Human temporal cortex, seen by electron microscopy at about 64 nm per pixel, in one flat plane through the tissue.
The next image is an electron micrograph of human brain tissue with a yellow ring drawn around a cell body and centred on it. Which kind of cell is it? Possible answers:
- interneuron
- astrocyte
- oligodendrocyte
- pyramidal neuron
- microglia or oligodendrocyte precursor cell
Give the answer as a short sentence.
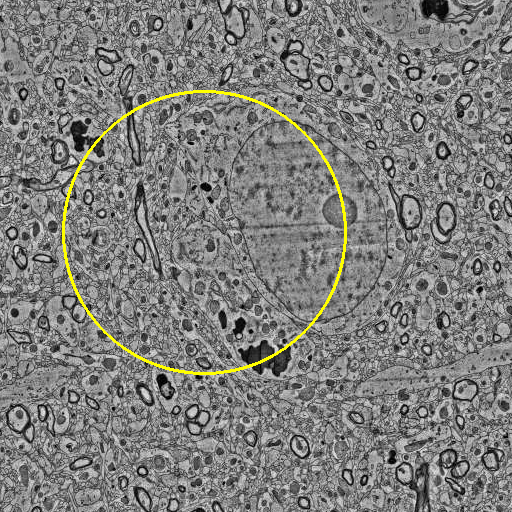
In the ring's centre is a microglial cell or oligodendrocyte precursor cell.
